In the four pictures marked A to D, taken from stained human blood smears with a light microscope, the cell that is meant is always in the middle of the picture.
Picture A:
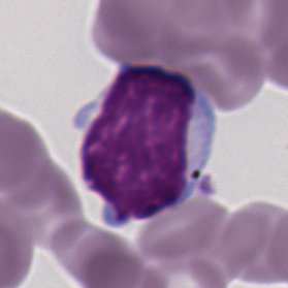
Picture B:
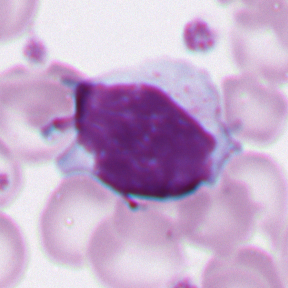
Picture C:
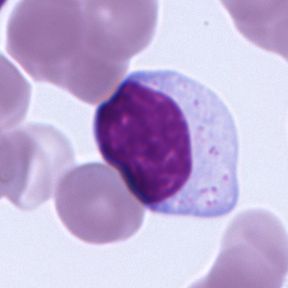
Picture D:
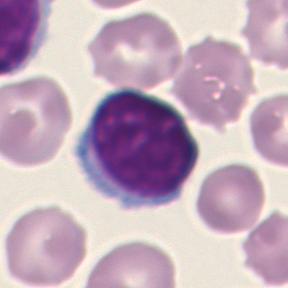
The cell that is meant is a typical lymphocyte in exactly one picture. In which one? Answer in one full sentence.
Picture D is the one that shows the typical lymphocyte.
